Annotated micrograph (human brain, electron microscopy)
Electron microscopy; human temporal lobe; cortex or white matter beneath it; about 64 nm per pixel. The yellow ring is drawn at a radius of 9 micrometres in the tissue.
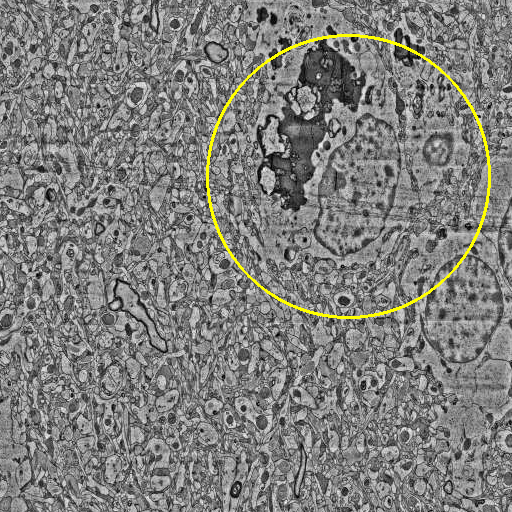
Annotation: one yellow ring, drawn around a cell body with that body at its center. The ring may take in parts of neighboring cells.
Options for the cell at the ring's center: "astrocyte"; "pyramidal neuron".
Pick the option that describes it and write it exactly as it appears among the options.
astrocyte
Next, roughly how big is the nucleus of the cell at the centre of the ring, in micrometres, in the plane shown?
In this plane the nucleus measures about 9 by 5 micrometres and is clearly longer than it is wide.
